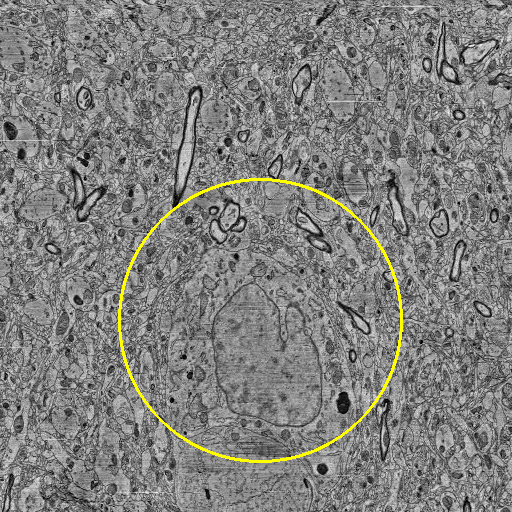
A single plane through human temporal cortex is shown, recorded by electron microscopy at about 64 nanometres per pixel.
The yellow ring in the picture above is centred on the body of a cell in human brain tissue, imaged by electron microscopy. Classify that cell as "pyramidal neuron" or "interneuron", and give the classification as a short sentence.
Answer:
The cell in the middle of the ring is a pyramidal neuron.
